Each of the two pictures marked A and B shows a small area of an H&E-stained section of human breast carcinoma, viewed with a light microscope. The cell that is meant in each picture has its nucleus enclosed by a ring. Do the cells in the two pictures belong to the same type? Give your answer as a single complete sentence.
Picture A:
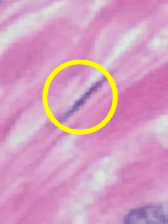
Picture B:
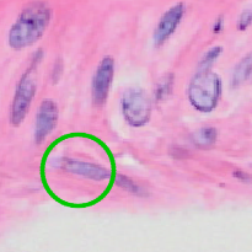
No; the cell in picture A is a fibroblast, while the one in picture B is an endothelial cell.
